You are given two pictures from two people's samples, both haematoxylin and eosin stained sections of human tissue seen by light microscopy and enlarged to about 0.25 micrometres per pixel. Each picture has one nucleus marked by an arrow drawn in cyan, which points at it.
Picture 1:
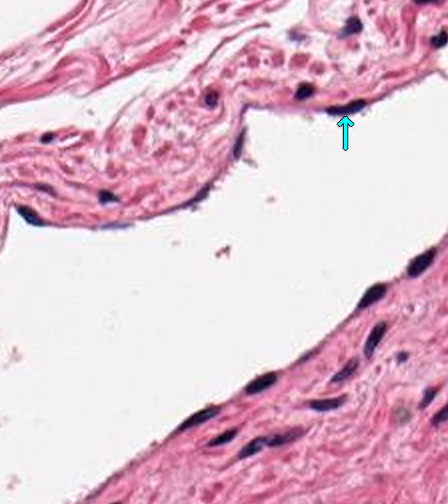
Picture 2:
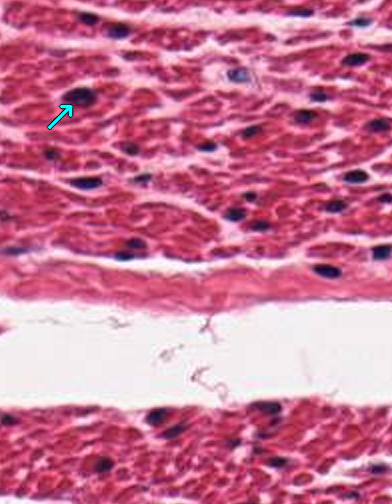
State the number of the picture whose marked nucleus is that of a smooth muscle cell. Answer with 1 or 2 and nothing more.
2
